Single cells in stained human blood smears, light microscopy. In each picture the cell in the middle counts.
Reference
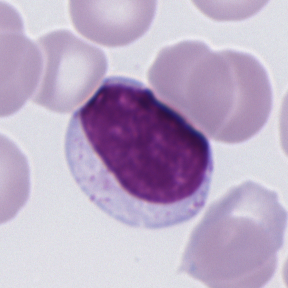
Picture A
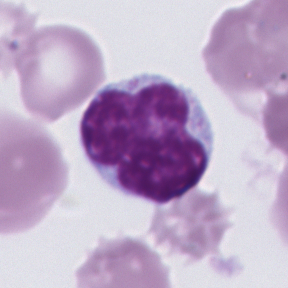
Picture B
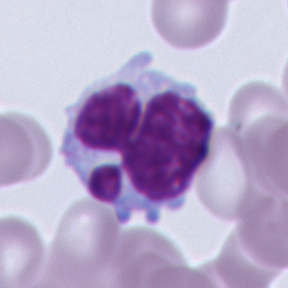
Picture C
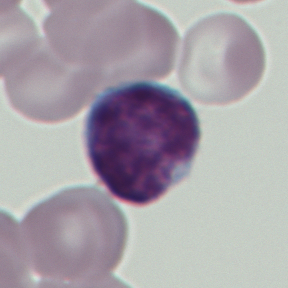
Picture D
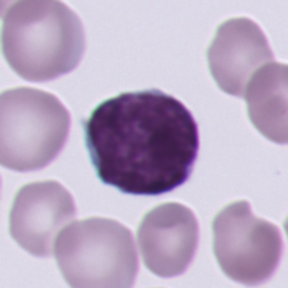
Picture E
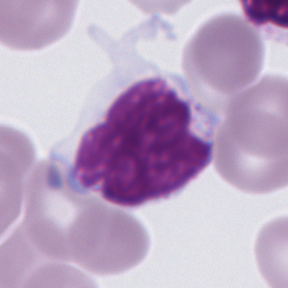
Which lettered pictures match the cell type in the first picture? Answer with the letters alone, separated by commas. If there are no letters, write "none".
B, E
